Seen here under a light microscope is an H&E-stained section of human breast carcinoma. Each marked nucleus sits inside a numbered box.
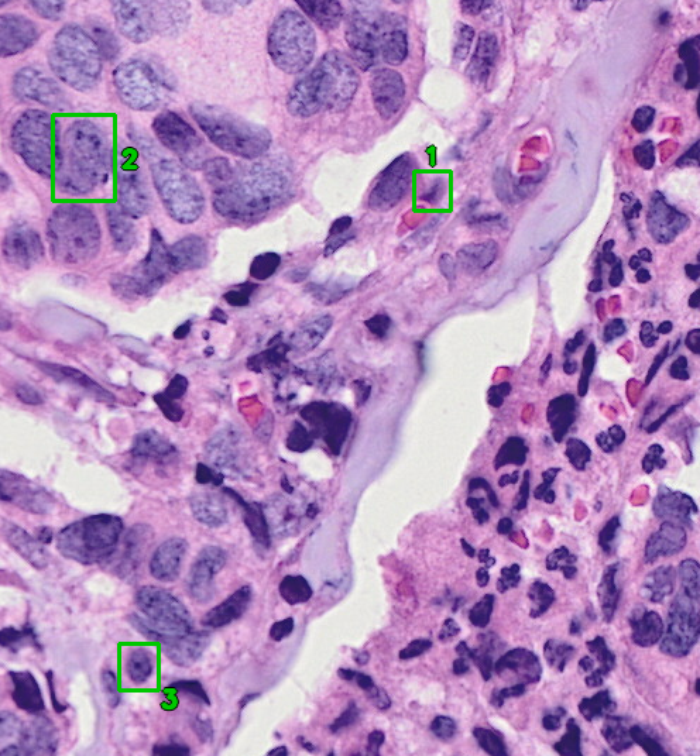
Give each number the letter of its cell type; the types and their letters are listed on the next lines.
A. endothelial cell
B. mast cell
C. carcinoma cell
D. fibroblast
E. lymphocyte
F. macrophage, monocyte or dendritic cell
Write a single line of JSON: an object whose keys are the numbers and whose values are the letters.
{"1": "A", "2": "C", "3": "B"}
